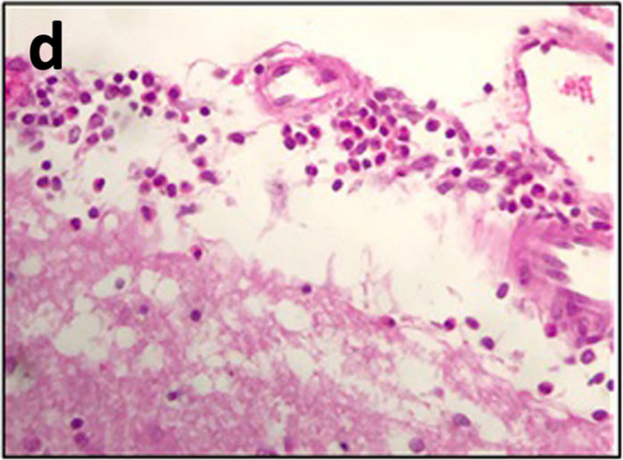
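Leptomeninges over the brain surface, heavily infiltrated by leukocytes. Numerous small round cells with dense dark nuclei crowd the loose meningeal tissue, especially around a vessel. The cells lie in clusters and sheets within the pale fibrillar membrane. Beneath, the superficial neural tissue is pale pink and coarsely vacuolated, with scattered nuclei.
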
